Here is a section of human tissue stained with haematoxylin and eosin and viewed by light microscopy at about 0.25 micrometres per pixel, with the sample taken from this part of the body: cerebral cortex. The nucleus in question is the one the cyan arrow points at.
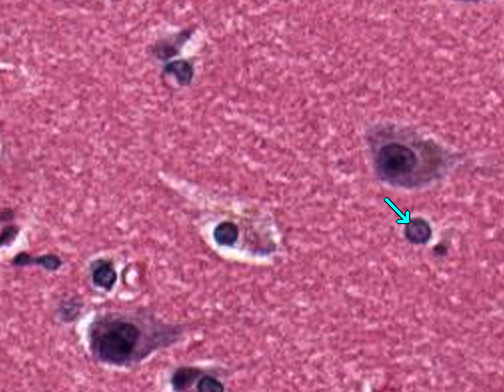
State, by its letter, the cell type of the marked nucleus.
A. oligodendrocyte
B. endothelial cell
A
